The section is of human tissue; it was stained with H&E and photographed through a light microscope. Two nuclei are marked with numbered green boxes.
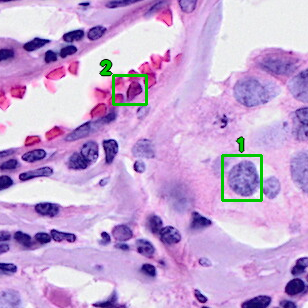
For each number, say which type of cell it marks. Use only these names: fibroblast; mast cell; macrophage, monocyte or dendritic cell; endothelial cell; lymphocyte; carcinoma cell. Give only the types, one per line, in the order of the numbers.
carcinoma cell
endothelial cell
